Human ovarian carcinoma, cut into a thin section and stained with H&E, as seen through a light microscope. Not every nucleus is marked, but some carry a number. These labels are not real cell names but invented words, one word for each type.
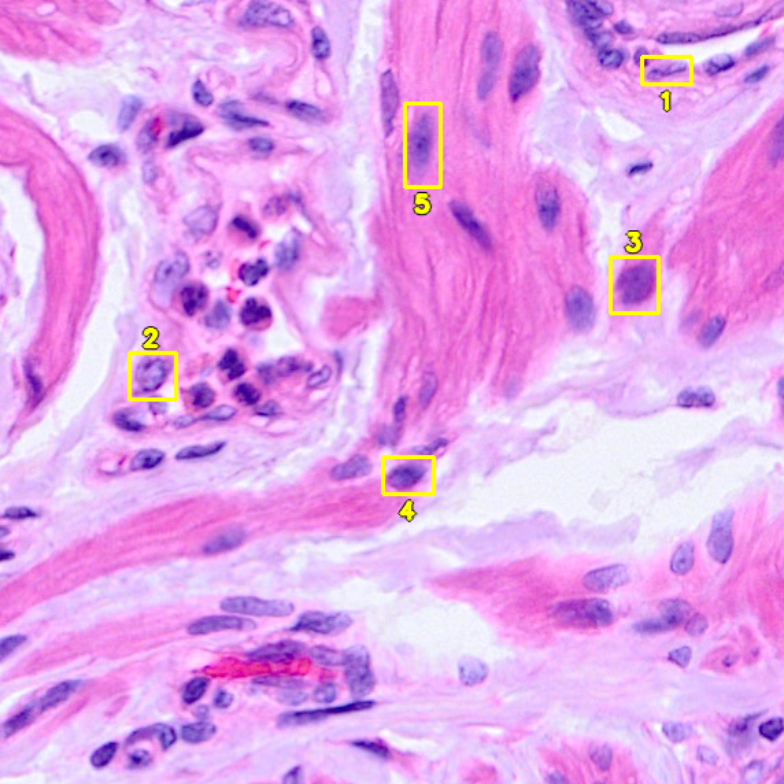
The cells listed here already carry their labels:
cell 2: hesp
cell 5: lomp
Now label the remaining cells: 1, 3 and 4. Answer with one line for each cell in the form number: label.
1: hesp
3: lomp
4: lomp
